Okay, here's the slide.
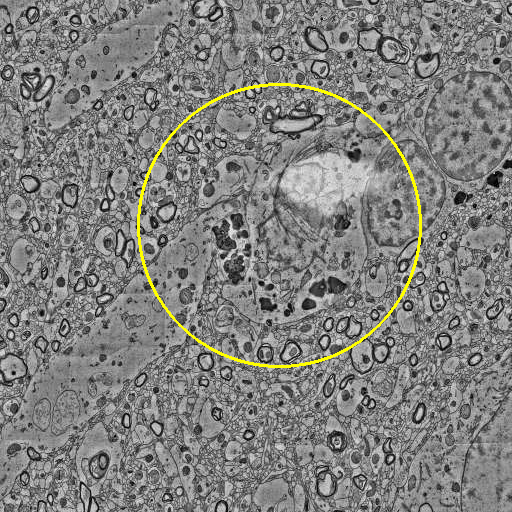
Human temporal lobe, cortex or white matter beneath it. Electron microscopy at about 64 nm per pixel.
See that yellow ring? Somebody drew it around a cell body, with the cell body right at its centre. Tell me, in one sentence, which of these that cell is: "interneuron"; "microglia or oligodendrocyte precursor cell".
The cell in the middle of the ring is an interneuron.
